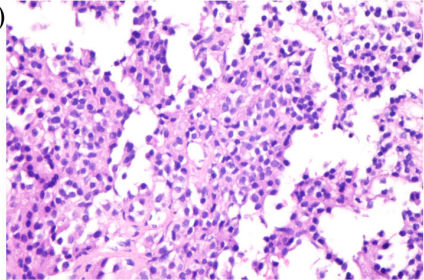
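This is a high-power view of a tumor made of basophilic cells packed in loose sheets and clusters. The nuclei are round and fairly uniform, dark purple, sitting in a modest rim of cytoplasm. Clear spaces split the sheets apart, so the cells appear as cords and small groups separated by empty gaps.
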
